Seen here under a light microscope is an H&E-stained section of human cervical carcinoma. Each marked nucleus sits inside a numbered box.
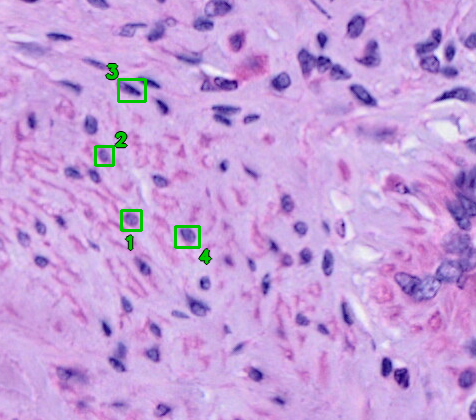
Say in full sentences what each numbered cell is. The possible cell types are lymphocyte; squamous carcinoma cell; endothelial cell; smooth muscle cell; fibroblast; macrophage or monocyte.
Cells 1, 2 and 4 are smooth muscle cells. Cell 3 is a fibroblast.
